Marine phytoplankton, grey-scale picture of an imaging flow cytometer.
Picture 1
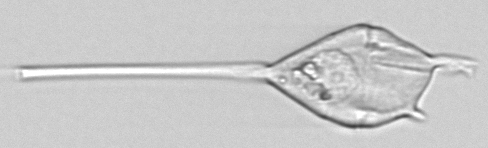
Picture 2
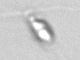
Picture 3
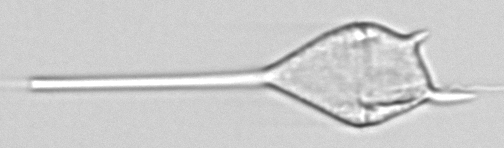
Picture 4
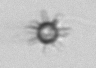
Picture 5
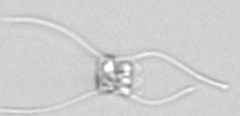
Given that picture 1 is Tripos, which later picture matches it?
3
